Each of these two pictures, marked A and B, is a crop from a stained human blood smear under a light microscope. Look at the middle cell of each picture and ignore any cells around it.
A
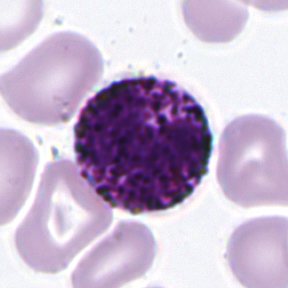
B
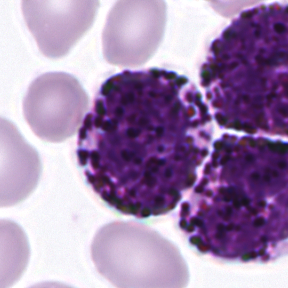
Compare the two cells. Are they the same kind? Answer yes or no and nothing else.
yes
